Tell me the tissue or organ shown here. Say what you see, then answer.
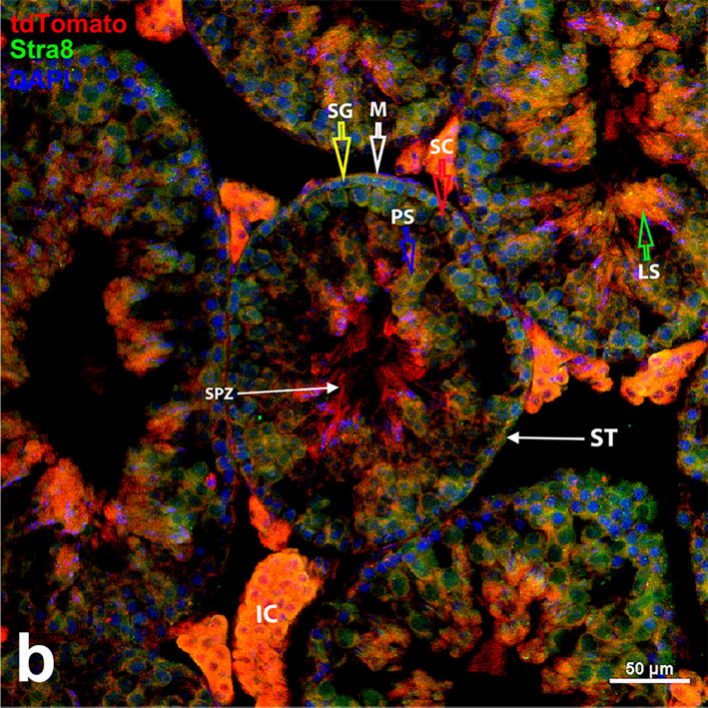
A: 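Testis. Round tubule profiles lined by a multilayered epithelium of many nuclei. Lumina contain filamentous red material. Clusters of large cells lie in the spaces between the tubules.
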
